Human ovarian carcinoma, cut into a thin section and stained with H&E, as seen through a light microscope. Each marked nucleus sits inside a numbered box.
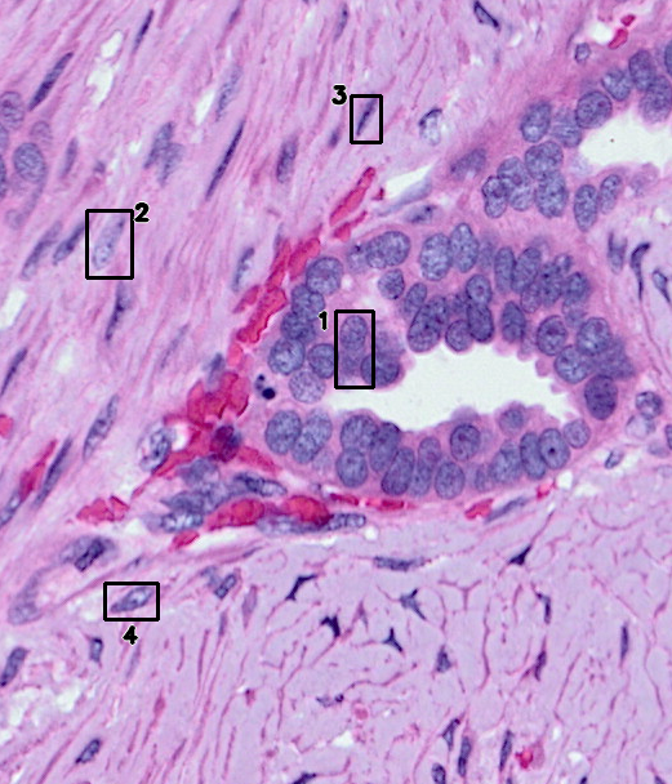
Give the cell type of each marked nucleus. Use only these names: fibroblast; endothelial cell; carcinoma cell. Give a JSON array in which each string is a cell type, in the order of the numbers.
["carcinoma cell", "fibroblast", "fibroblast", "fibroblast"]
